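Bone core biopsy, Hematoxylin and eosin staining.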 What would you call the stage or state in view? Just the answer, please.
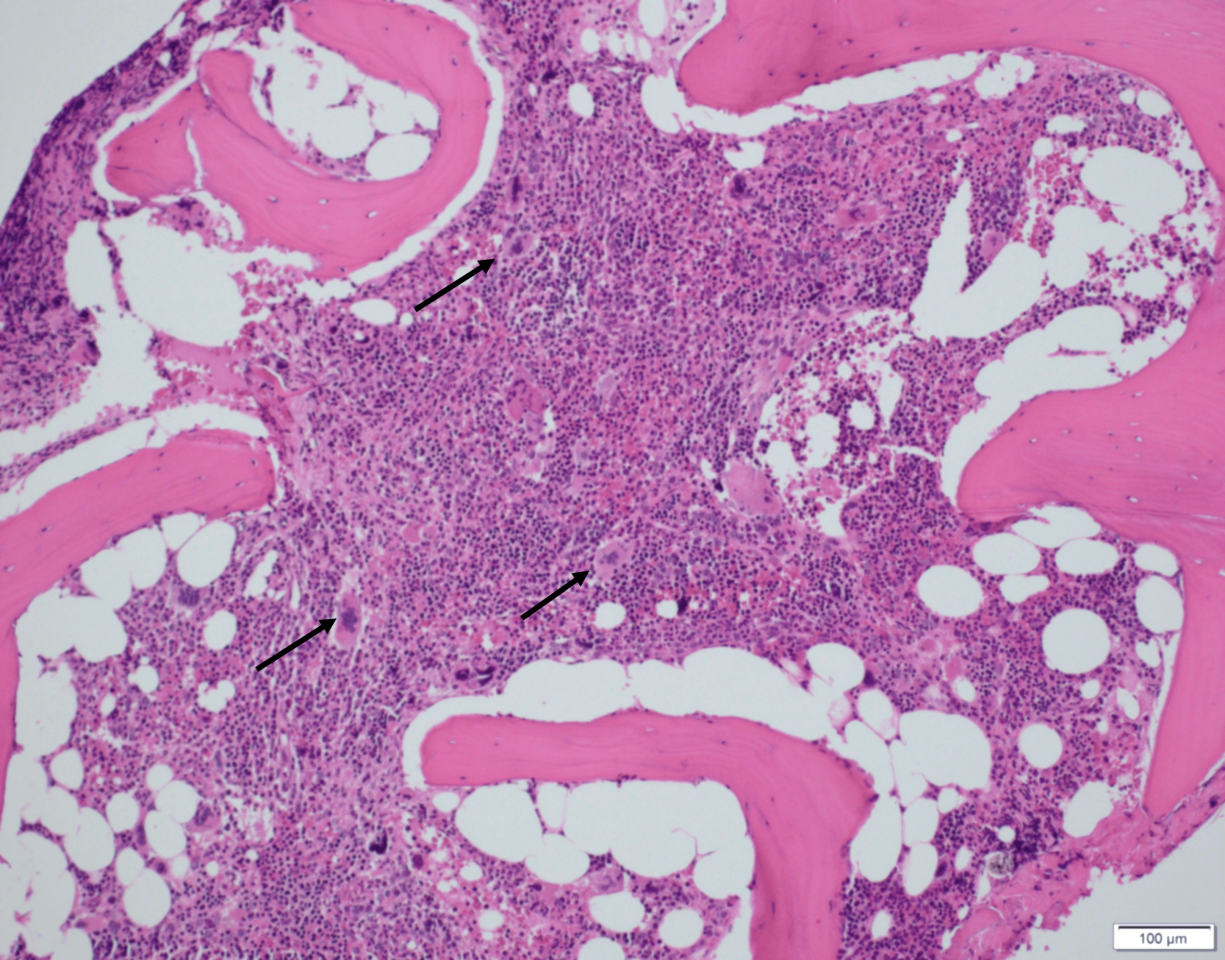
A: Hypercellular marrow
